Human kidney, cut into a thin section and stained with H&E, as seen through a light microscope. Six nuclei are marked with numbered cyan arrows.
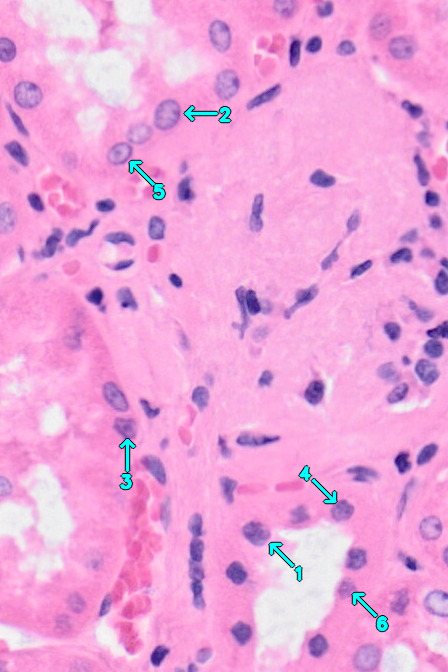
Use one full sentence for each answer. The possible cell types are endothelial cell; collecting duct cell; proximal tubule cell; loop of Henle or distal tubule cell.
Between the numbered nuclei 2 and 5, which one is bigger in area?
Nucleus 2 is the larger one, covering about 1.5 times the area of nucleus 5.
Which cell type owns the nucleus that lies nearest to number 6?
Closest to number 6 lies the nucleus of a loop of Henle or distal tubule cell.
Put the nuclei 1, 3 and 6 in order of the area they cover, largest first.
Going from the biggest nucleus down to the smallest gives 1, 3, 6.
